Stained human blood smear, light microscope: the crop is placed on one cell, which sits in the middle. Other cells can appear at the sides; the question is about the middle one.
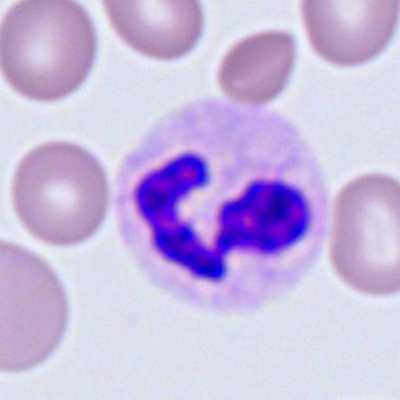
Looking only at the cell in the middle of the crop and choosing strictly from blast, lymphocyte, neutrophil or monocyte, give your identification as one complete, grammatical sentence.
In the centre of this crop there is a neutrophil.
